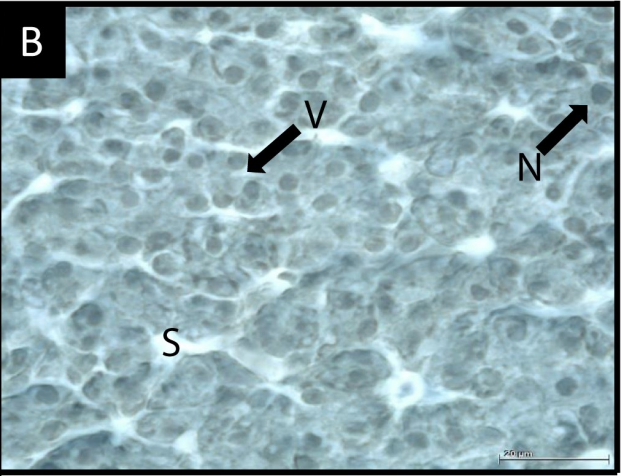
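Liver tissue of densely packed, medium-sized polygonal hepatocytes, each with a round, roughly central nucleus in bluish-grey cytoplasm. Only a few small clear vacuoles are scattered among the cells, and narrow pale sinusoids run between groups of cells.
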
